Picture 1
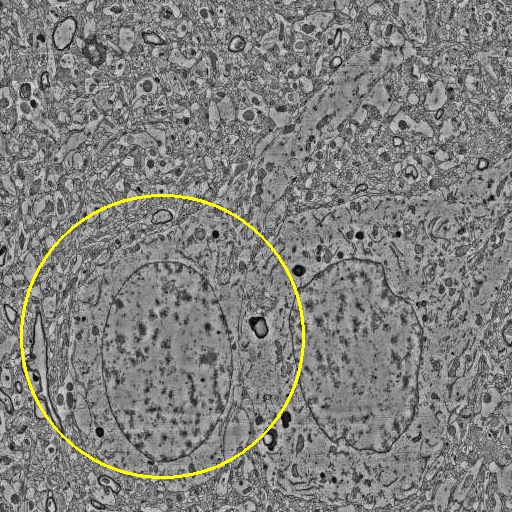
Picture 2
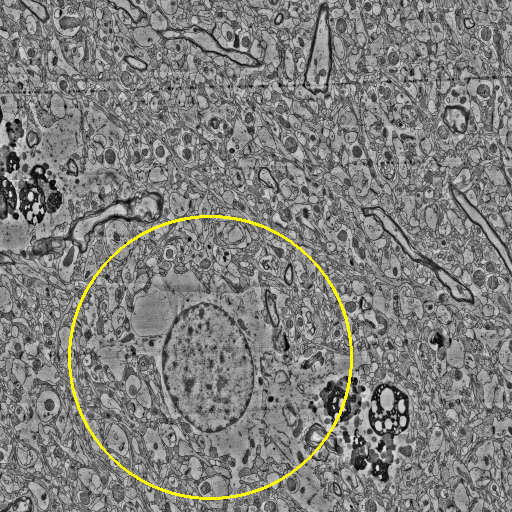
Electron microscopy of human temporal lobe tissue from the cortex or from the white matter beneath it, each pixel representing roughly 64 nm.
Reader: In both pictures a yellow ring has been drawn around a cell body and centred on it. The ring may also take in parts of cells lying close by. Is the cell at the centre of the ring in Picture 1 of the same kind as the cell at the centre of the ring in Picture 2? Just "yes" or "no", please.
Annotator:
no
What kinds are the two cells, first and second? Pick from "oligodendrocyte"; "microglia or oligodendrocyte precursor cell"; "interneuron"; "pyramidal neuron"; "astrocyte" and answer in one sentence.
The second picture holds an astrocyte in its ring, and the first holds a pyramidal neuron.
